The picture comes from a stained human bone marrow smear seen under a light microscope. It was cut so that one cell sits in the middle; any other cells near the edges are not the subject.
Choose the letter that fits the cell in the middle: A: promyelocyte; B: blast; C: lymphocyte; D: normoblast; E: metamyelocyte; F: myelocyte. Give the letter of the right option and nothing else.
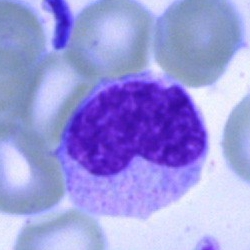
E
